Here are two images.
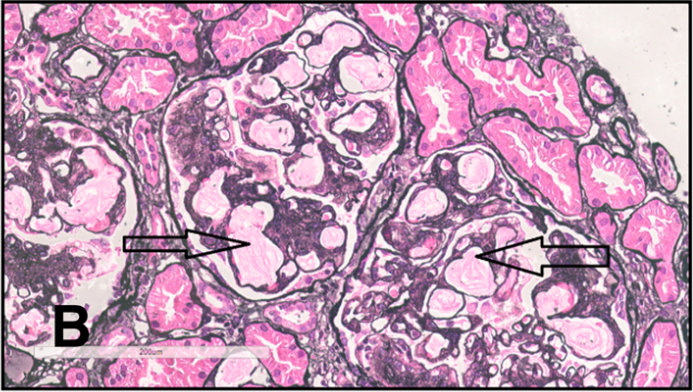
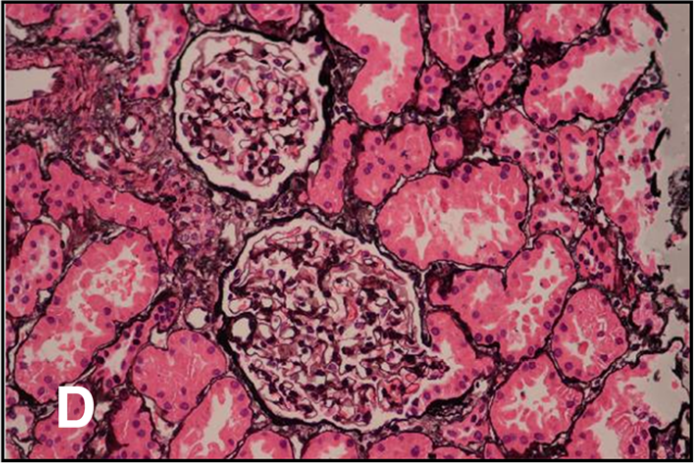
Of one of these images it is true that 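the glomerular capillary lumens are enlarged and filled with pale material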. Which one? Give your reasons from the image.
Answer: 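The first image. Second image: glomeruli have fine, narrow capillary loops with dark outlines and many nuclei, no pale masses. First image: glomerular capillary loops are ballooned and filled with pale pink homogeneous material.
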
